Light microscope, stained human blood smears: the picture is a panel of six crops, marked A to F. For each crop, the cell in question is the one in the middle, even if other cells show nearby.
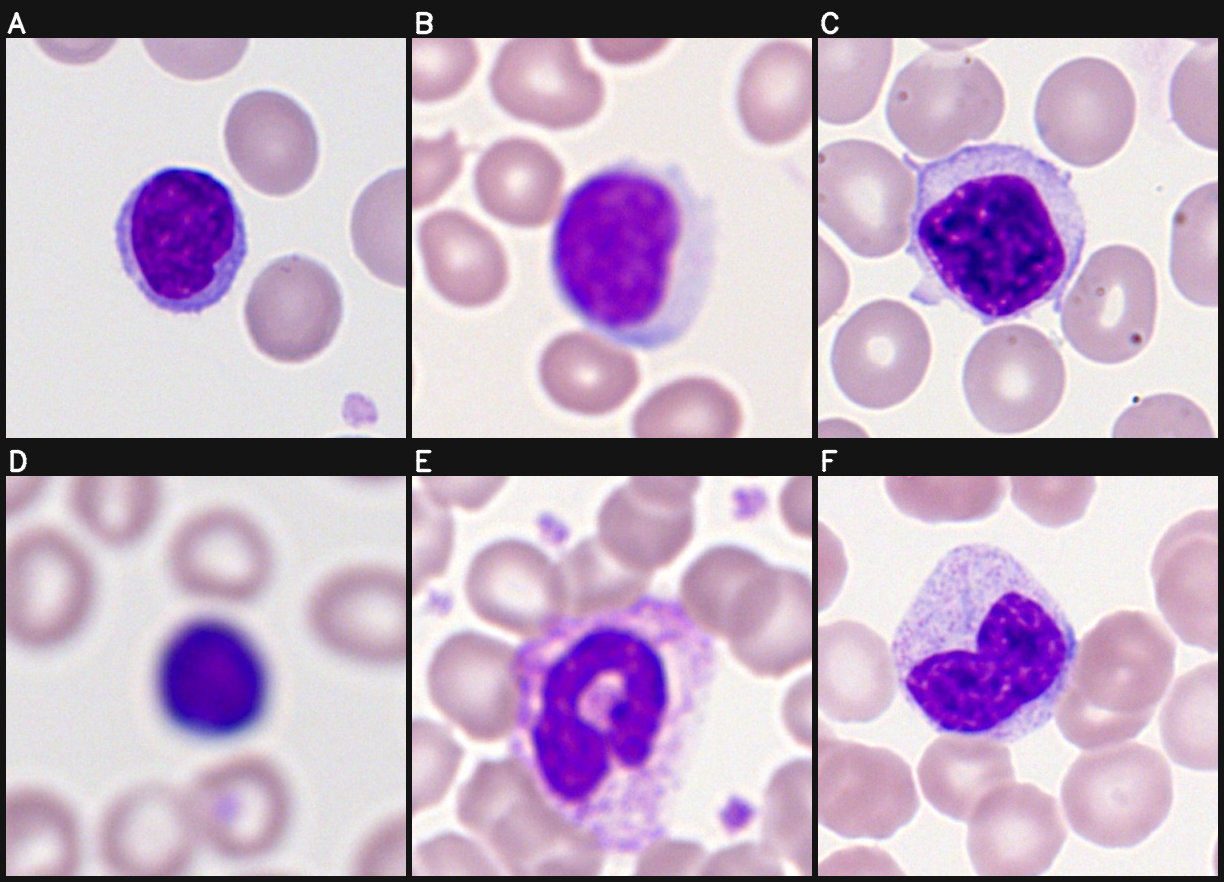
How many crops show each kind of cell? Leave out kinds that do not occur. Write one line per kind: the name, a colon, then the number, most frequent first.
lymphocyte: 4
band neutrophil: 2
